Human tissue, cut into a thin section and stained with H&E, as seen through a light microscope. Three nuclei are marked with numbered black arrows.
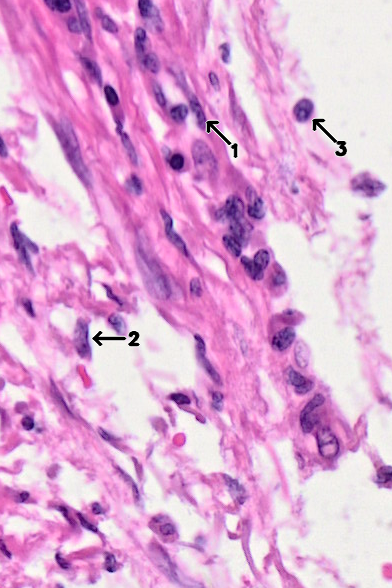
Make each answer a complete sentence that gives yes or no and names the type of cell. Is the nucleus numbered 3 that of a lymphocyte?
Yes, the cell labelled with number 3 is a lymphocyte.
